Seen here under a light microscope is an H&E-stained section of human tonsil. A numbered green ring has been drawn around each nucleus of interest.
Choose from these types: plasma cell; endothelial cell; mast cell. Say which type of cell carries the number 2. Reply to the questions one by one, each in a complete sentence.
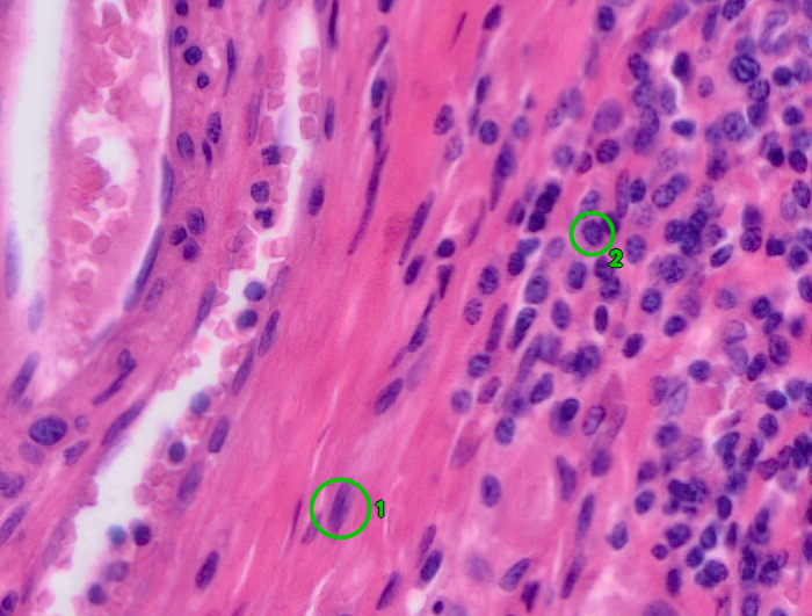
In this section, the cell tagged 2 is a plasma cell.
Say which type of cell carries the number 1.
The one labeled 1 is an endothelial cell, to put it simply.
